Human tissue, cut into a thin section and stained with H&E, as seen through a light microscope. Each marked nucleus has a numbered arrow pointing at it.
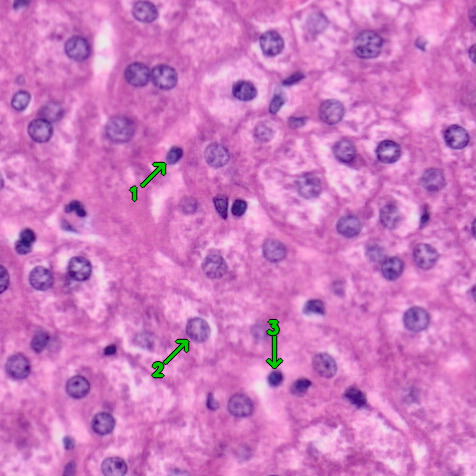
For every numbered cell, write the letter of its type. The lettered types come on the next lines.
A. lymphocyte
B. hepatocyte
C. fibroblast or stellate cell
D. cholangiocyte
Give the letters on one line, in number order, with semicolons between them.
A; B; A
